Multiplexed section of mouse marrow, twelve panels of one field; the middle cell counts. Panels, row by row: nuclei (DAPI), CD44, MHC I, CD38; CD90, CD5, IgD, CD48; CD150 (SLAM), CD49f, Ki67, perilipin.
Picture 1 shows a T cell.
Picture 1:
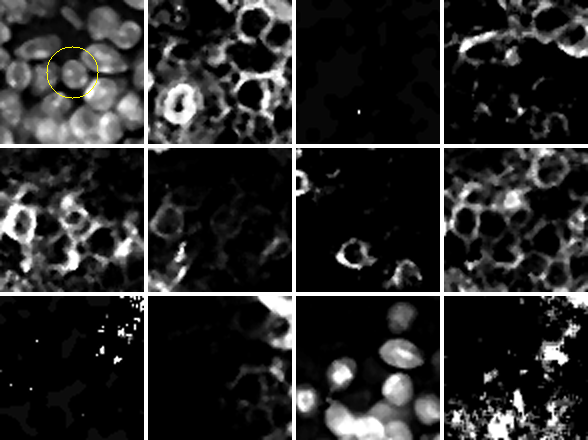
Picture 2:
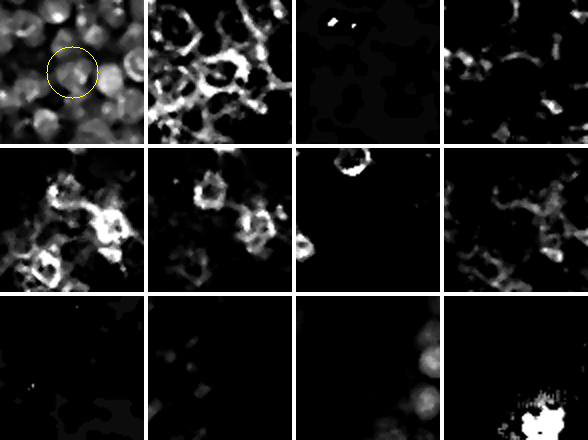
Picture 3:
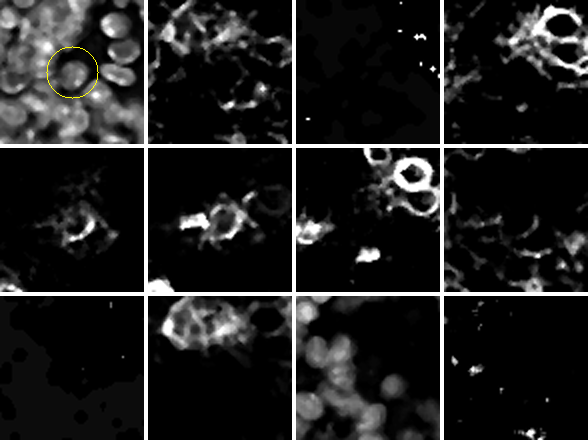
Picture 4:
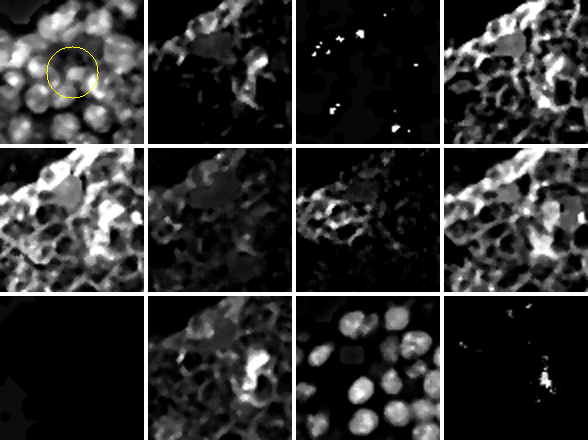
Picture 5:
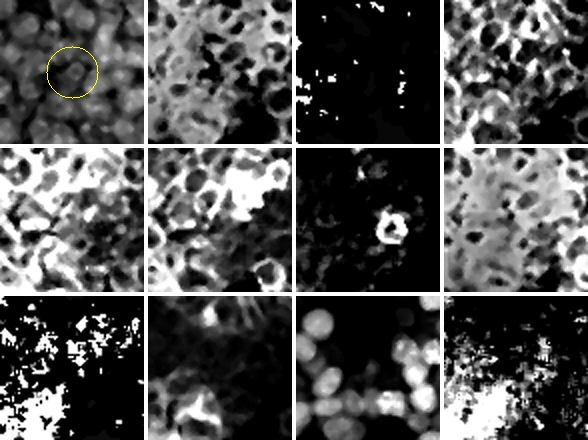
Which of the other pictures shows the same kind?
Picture 3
